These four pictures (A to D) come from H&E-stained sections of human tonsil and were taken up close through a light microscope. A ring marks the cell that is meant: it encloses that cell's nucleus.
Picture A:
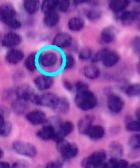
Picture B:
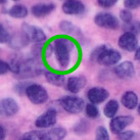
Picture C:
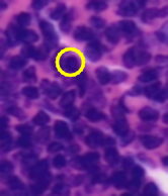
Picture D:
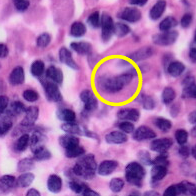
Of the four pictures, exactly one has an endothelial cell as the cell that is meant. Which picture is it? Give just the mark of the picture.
D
